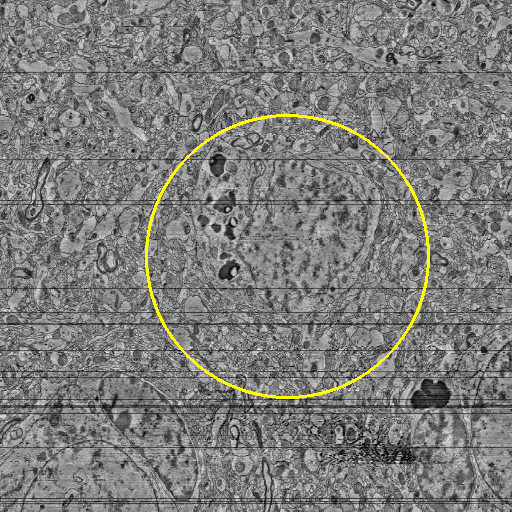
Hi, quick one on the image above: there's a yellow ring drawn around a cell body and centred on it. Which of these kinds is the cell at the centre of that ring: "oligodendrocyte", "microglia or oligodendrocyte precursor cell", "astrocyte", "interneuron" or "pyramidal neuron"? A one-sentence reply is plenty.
The cell at the centre of the ring is an interneuron.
